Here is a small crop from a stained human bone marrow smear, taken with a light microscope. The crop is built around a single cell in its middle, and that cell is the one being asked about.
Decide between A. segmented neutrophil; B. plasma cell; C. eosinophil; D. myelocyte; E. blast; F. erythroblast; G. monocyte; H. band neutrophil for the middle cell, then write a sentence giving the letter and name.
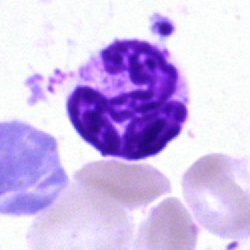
Option A correctly names the cell in the middle as a segmented neutrophil.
